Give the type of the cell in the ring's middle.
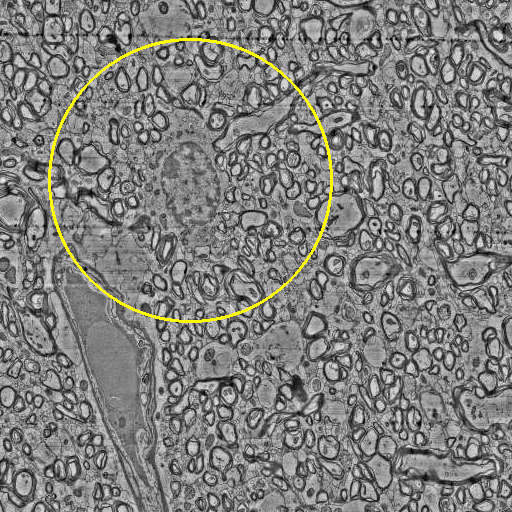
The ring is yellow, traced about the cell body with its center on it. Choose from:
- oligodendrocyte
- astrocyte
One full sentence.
Here, an oligodendrocyte is the cell lying at the center of the yellow ring.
